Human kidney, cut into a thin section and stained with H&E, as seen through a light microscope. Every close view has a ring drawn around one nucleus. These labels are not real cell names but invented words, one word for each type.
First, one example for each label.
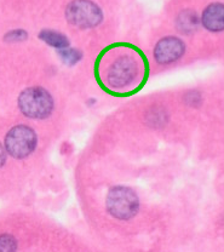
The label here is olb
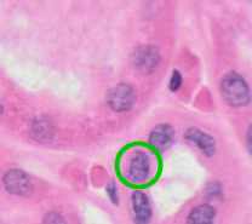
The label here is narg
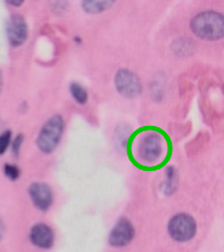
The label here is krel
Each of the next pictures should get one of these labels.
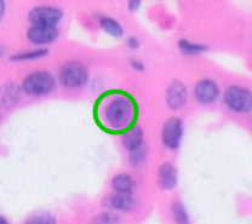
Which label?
narg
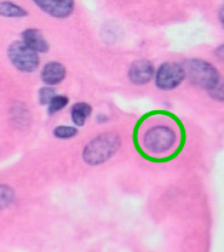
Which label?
olb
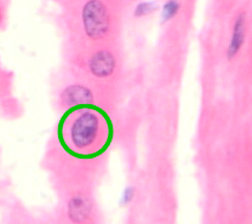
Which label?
olb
